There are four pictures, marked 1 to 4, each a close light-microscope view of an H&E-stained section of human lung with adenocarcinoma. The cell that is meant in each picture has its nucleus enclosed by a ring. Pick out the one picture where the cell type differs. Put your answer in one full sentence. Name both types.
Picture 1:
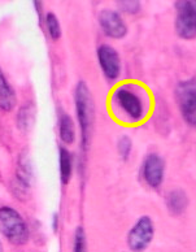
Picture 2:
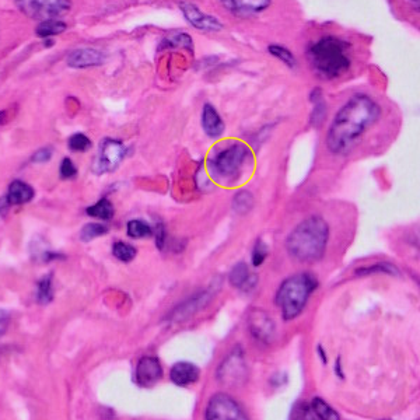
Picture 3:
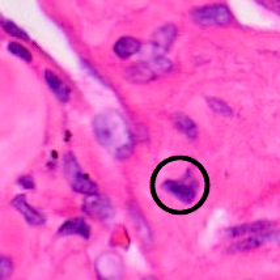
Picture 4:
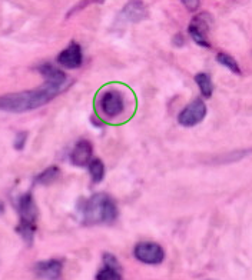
Unlike the rest, which show plasma cells, picture 3 shows a fibroblast.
